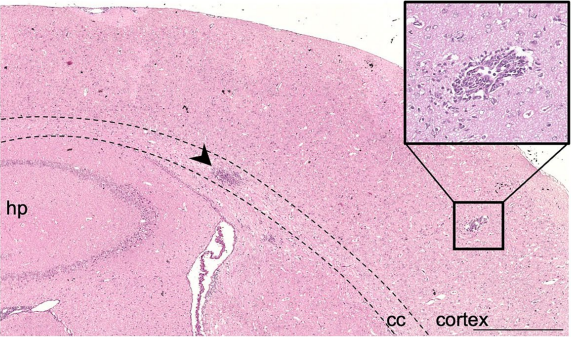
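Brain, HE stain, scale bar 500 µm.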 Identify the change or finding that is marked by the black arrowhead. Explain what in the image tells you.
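Lesions. The arrowhead points to a small focus of densely packed purple nuclei. The focus lies in the band between the dashed lines, between cortex and hippocampus.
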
